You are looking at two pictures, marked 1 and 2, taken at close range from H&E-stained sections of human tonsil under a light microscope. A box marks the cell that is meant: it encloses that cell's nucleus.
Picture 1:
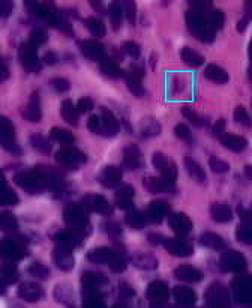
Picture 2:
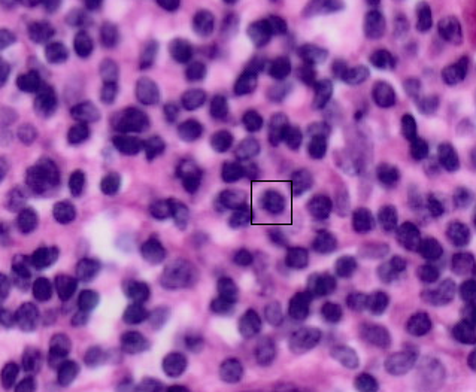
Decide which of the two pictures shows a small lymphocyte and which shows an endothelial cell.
1: endothelial cell
2: small lymphocyte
